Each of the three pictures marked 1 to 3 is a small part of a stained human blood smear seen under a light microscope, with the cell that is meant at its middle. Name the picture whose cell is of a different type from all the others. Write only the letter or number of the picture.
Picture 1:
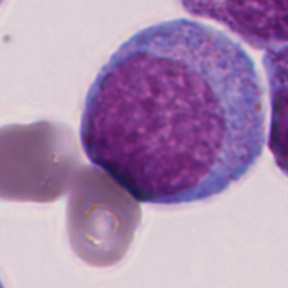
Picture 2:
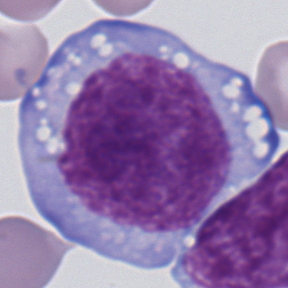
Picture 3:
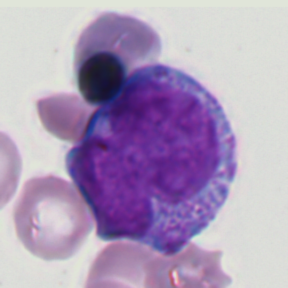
2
